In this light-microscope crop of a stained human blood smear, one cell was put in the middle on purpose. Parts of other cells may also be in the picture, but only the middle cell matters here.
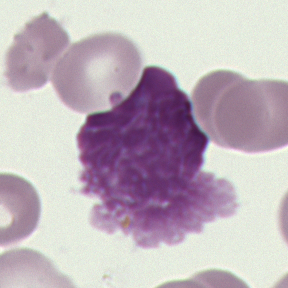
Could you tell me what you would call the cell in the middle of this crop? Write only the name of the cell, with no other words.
smudge cell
